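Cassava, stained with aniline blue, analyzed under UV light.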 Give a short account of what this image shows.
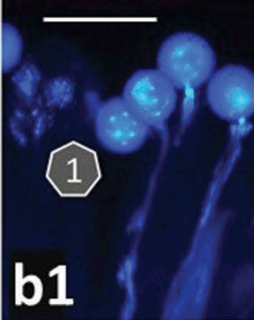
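Several round grains glow pale blue on a dark ground, each with a few bright dots inside, and from some of them thin blue threads run downward. These are pollen grains on the stigma surface sending out pollen tubes.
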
